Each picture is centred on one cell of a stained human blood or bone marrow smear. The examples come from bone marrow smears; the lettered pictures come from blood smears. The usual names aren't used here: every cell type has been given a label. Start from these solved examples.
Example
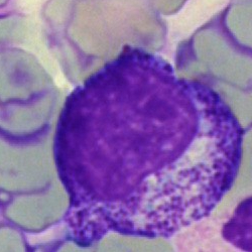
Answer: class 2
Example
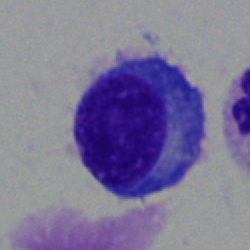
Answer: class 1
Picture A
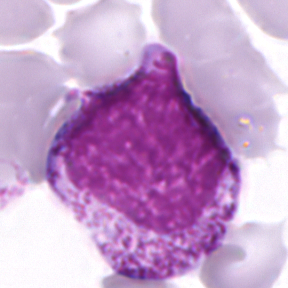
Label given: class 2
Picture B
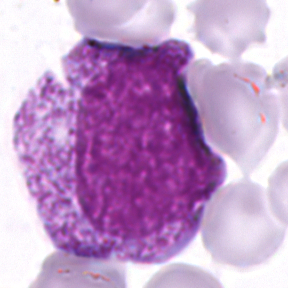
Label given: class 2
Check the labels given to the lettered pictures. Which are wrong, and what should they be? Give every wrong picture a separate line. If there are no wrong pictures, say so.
All correct.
